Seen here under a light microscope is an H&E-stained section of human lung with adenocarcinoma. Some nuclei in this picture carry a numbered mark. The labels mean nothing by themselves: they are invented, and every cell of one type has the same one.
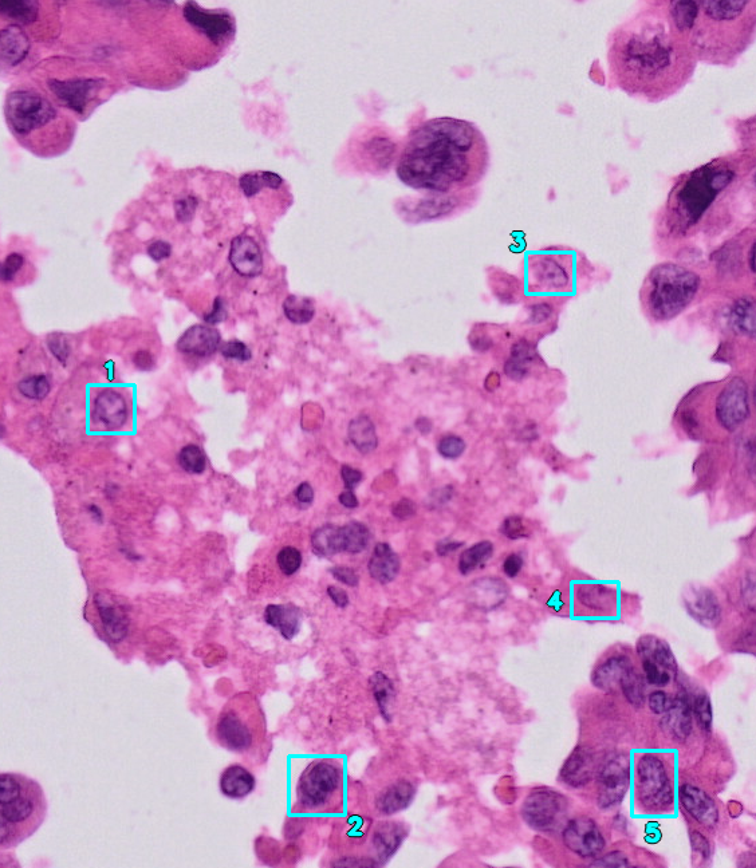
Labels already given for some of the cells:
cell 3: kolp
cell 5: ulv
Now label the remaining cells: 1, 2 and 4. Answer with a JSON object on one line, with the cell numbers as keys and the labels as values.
{"1": "kolp", "2": "ulv", "4": "kolp"}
